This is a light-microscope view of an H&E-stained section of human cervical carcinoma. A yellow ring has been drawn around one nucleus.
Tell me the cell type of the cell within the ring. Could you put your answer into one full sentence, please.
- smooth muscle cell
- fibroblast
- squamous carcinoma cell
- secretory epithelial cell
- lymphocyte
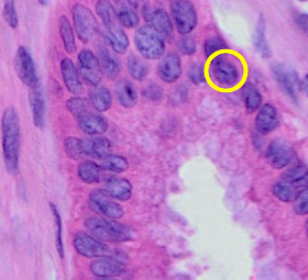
The cell type represented by the cell within the ring is that of a secretory epithelial cell.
